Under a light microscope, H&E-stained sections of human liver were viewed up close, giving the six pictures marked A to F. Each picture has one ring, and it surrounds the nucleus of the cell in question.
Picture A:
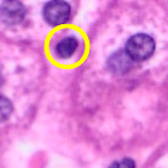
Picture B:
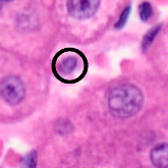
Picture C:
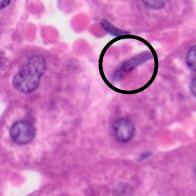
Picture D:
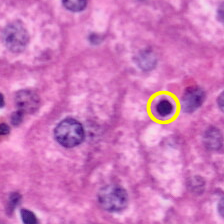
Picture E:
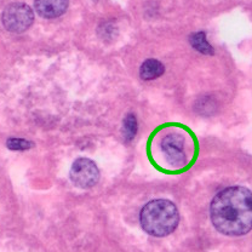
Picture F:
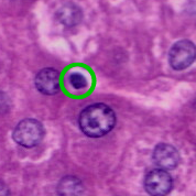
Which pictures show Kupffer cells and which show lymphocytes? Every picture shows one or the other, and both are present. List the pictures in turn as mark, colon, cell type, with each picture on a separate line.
A: lymphocyte
B: Kupffer cell
C: Kupffer cell
D: lymphocyte
E: Kupffer cell
F: lymphocyte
